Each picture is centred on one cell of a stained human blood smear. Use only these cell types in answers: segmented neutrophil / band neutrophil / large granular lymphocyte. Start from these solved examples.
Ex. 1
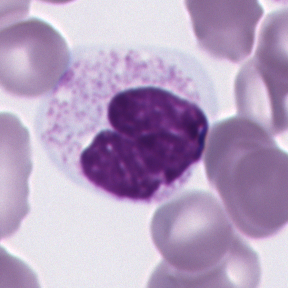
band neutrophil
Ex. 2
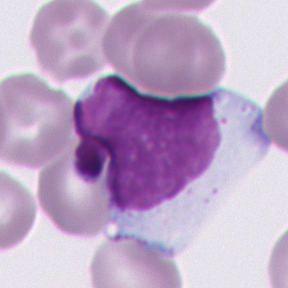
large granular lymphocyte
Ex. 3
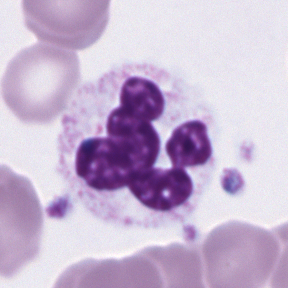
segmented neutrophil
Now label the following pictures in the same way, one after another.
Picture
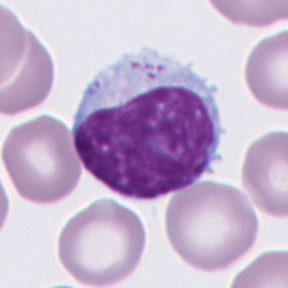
large granular lymphocyte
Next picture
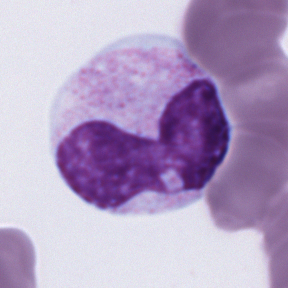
band neutrophil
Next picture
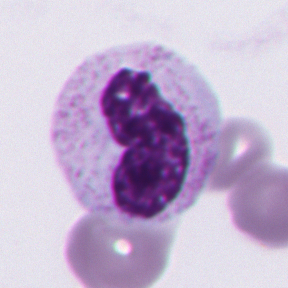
band neutrophil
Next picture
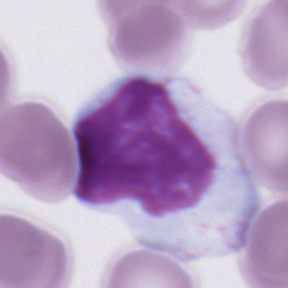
large granular lymphocyte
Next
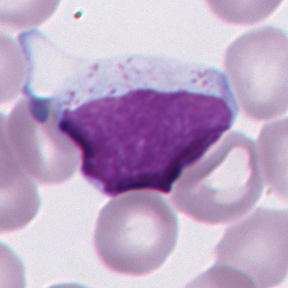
large granular lymphocyte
